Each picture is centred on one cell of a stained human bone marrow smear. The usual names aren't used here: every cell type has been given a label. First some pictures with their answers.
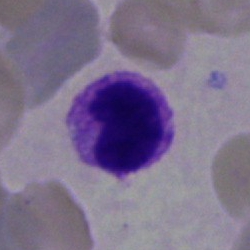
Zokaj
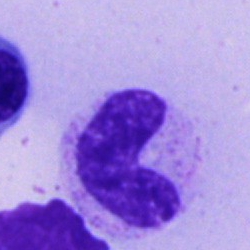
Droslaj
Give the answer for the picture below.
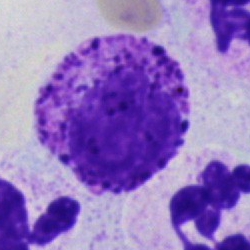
Zokaj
